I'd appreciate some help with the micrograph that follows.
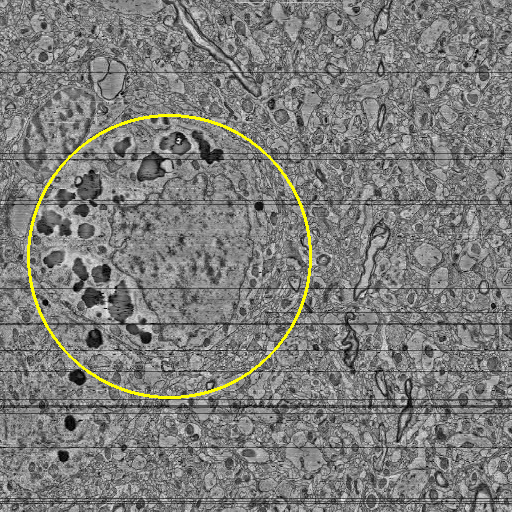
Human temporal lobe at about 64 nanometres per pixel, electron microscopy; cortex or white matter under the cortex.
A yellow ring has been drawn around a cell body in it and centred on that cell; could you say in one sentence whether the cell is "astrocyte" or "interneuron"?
It is an interneuron at the centre of the ring.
